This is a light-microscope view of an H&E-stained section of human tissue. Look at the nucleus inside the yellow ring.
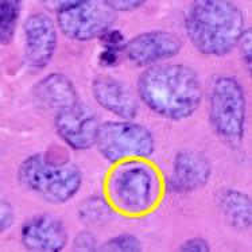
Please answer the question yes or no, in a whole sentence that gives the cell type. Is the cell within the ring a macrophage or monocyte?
No, the cell within the ring counts as a squamous carcinoma cell, not a macrophage or monocyte.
